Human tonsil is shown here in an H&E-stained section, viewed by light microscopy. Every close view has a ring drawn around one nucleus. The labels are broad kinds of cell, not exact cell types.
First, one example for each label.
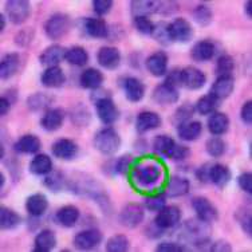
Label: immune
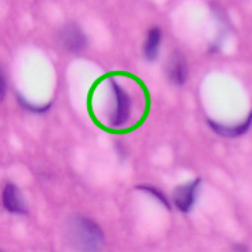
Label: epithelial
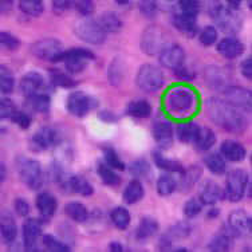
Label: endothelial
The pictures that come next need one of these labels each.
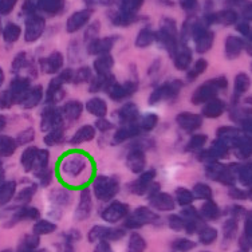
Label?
endothelial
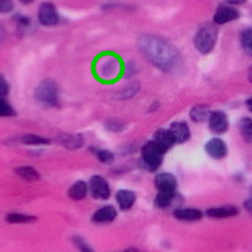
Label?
endothelial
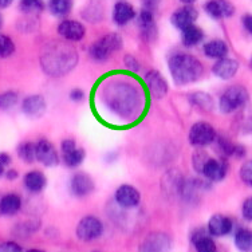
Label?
endothelial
